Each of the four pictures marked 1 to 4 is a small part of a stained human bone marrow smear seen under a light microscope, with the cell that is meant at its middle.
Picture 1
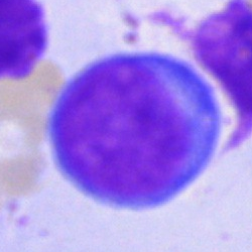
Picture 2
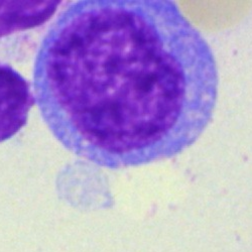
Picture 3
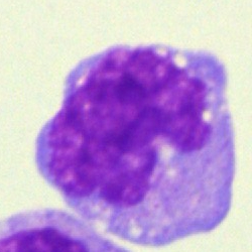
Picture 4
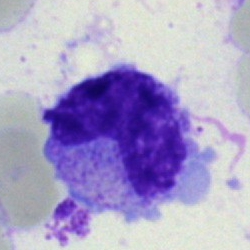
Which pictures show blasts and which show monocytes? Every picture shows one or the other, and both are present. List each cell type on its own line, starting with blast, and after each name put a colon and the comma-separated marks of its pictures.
blast: 1, 2
monocyte: 3, 4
